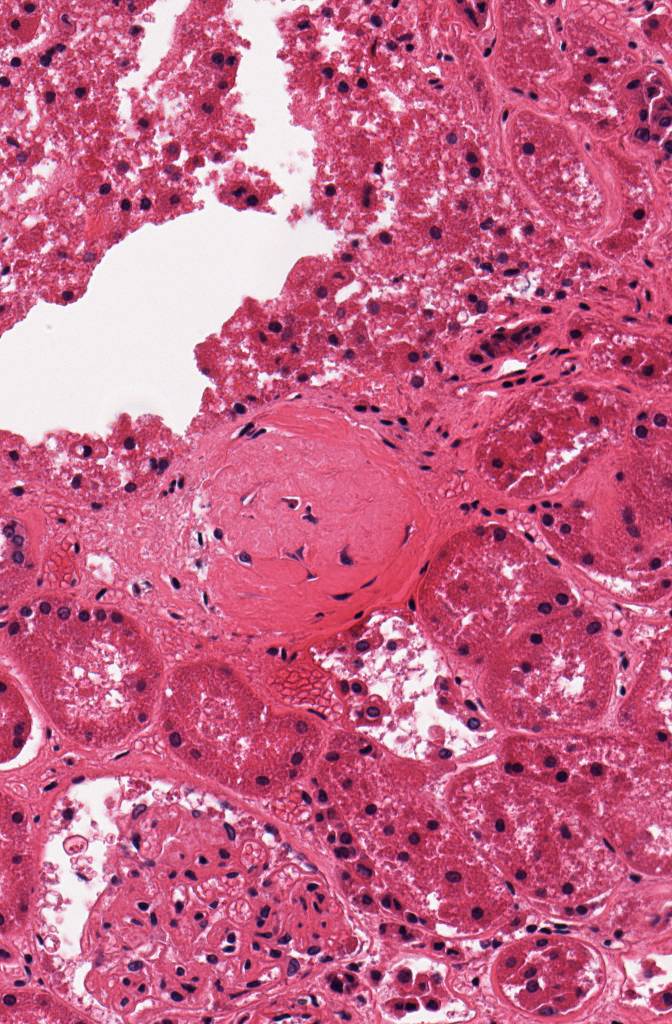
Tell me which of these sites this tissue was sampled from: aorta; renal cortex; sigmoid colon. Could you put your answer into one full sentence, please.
From the renal cortex was taken the tissue in this section.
